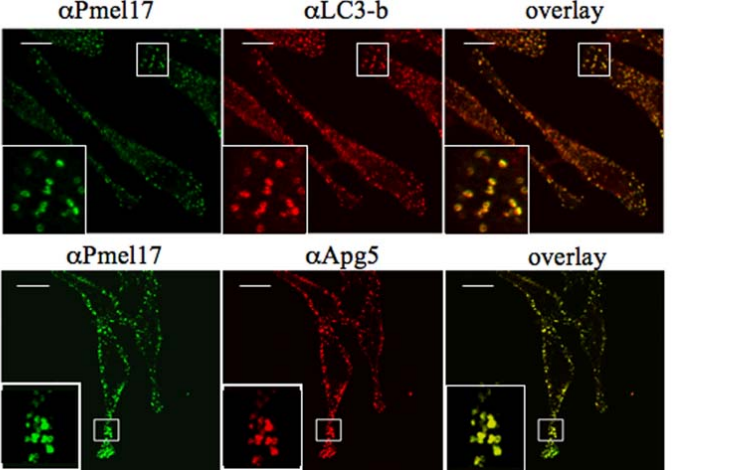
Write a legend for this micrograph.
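Elongated, spindle-shaped cultured cells are filled with small round puncta scattered through the cytoplasm out to the cell tips. The green and red puncta follow the same pattern, and in the merged images most appear yellow-orange where the two colours overlap. Enlarged insets show clusters of round vesicles, several of them appearing yellow in the merge, which points to the two labels sitting on the same small organelles.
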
